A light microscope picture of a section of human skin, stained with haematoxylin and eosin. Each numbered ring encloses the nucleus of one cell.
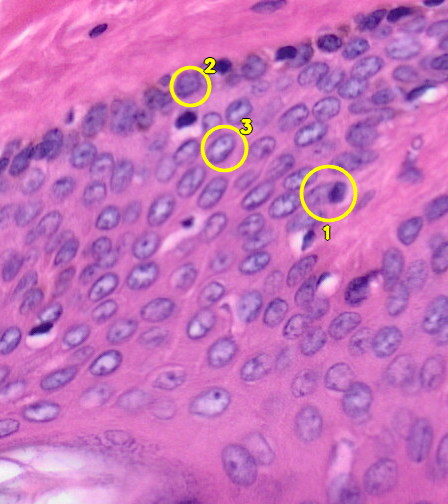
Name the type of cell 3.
suprabasal keratinocyte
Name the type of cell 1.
basal keratinocyte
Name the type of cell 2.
basal keratinocyte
